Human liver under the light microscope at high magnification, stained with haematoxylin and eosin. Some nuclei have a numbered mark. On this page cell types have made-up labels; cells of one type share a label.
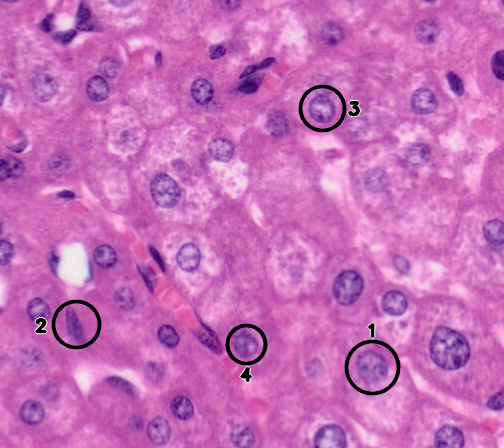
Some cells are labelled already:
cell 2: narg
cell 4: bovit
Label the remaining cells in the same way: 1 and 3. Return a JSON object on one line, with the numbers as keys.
{"1": "bovit", "3": "bovit"}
